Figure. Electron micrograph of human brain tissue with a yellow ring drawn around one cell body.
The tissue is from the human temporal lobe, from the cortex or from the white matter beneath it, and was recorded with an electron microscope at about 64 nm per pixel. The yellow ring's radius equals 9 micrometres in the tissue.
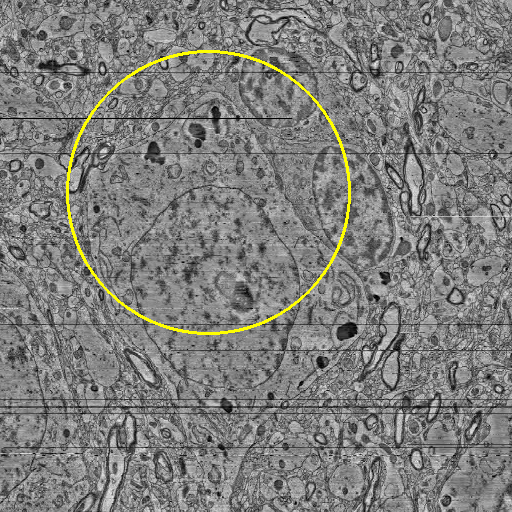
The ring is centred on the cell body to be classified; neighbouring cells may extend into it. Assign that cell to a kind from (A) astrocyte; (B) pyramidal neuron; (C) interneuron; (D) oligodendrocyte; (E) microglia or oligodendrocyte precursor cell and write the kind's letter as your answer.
B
